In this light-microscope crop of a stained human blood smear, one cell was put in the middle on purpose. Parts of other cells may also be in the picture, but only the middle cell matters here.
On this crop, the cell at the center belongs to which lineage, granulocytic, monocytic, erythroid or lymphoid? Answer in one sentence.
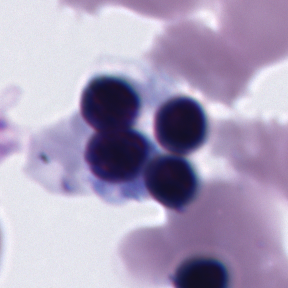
The cell at the center of this crop is categorized as erythroid in lineage.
